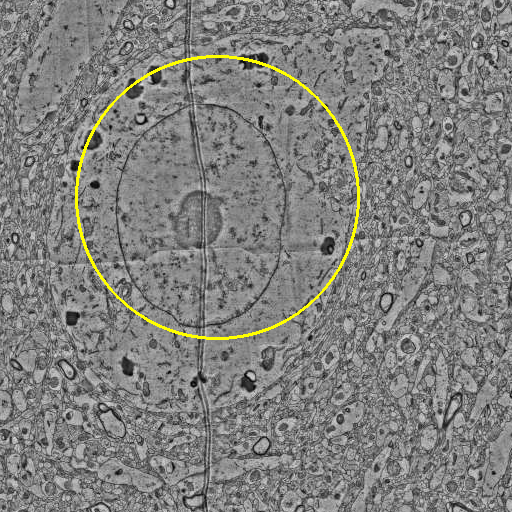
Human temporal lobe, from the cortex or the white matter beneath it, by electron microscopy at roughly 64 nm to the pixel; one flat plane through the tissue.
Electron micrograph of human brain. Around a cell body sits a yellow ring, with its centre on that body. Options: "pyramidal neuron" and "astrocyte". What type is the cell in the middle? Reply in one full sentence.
The cell sitting at the centre of the yellow ring is a pyramidal neuron.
